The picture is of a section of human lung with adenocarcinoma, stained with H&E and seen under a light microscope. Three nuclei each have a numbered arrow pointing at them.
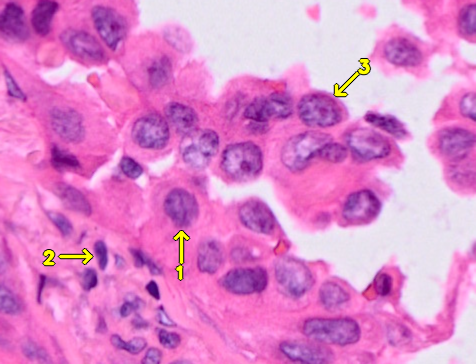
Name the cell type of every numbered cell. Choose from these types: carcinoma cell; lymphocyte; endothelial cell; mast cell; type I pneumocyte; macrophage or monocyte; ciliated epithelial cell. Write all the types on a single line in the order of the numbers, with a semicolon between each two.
carcinoma cell; lymphocyte; carcinoma cell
